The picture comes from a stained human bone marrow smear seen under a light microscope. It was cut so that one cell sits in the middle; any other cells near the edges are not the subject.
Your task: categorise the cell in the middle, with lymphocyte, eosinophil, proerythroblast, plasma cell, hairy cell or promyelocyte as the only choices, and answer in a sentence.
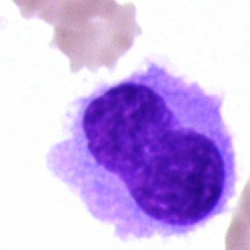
Positioned in the middle of the crop is a hairy cell.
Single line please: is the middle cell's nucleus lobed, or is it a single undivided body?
Two or more lobes make up the nucleus of this cell.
